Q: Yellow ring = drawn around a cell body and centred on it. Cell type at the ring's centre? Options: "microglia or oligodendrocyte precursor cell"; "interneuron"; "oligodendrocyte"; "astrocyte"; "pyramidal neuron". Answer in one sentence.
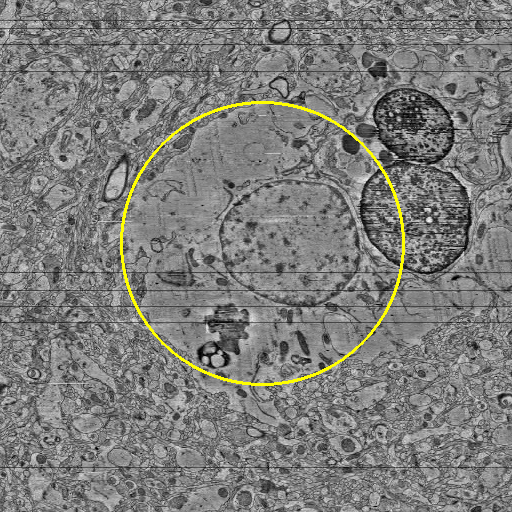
Centred in the ring is an astrocyte.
